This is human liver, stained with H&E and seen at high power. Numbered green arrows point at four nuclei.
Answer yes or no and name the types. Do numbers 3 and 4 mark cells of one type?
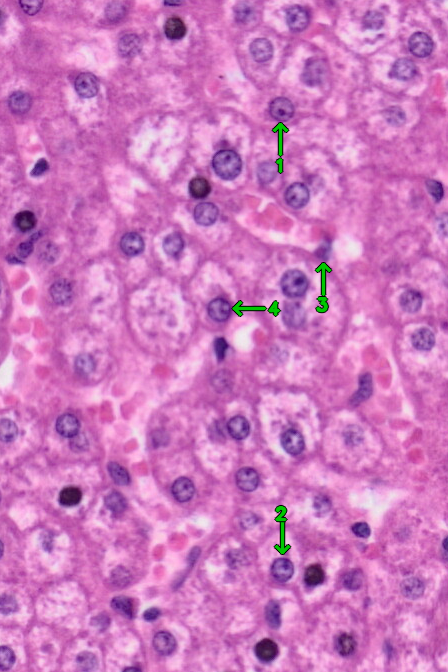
No, cell 3 is an endothelial cell and cell 4 is a hepatocyte.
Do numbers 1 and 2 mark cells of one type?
Yes, both are hepatocytes.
